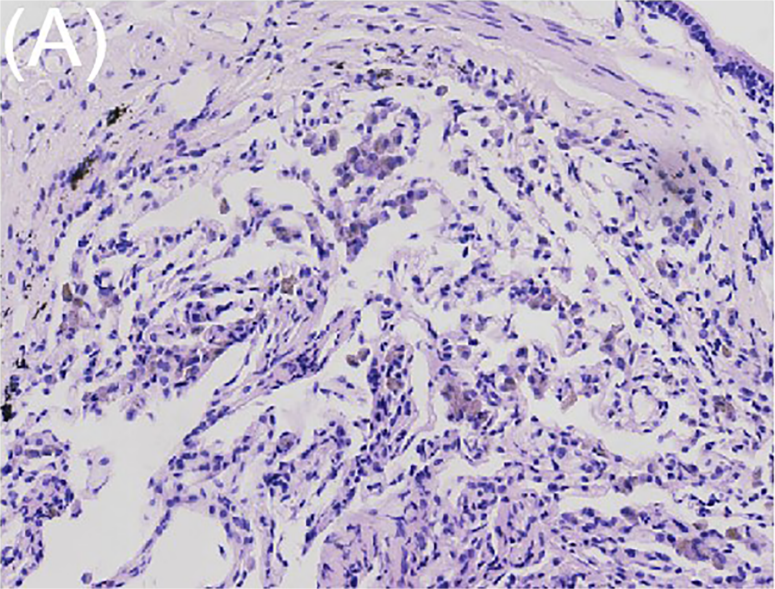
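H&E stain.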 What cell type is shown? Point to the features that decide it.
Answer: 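Groups of rounded cells contain brown granular pigment. The pigmented cells sit within spaces between thin tissue strands. Some coarse black pigment lies in the fibrous tissue at upper left.
Hence: brown pigmented macrophages.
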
